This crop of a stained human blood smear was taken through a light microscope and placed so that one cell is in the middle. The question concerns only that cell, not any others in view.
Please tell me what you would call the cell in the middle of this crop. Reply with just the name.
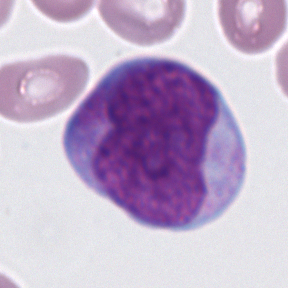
atypical promyelocyte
